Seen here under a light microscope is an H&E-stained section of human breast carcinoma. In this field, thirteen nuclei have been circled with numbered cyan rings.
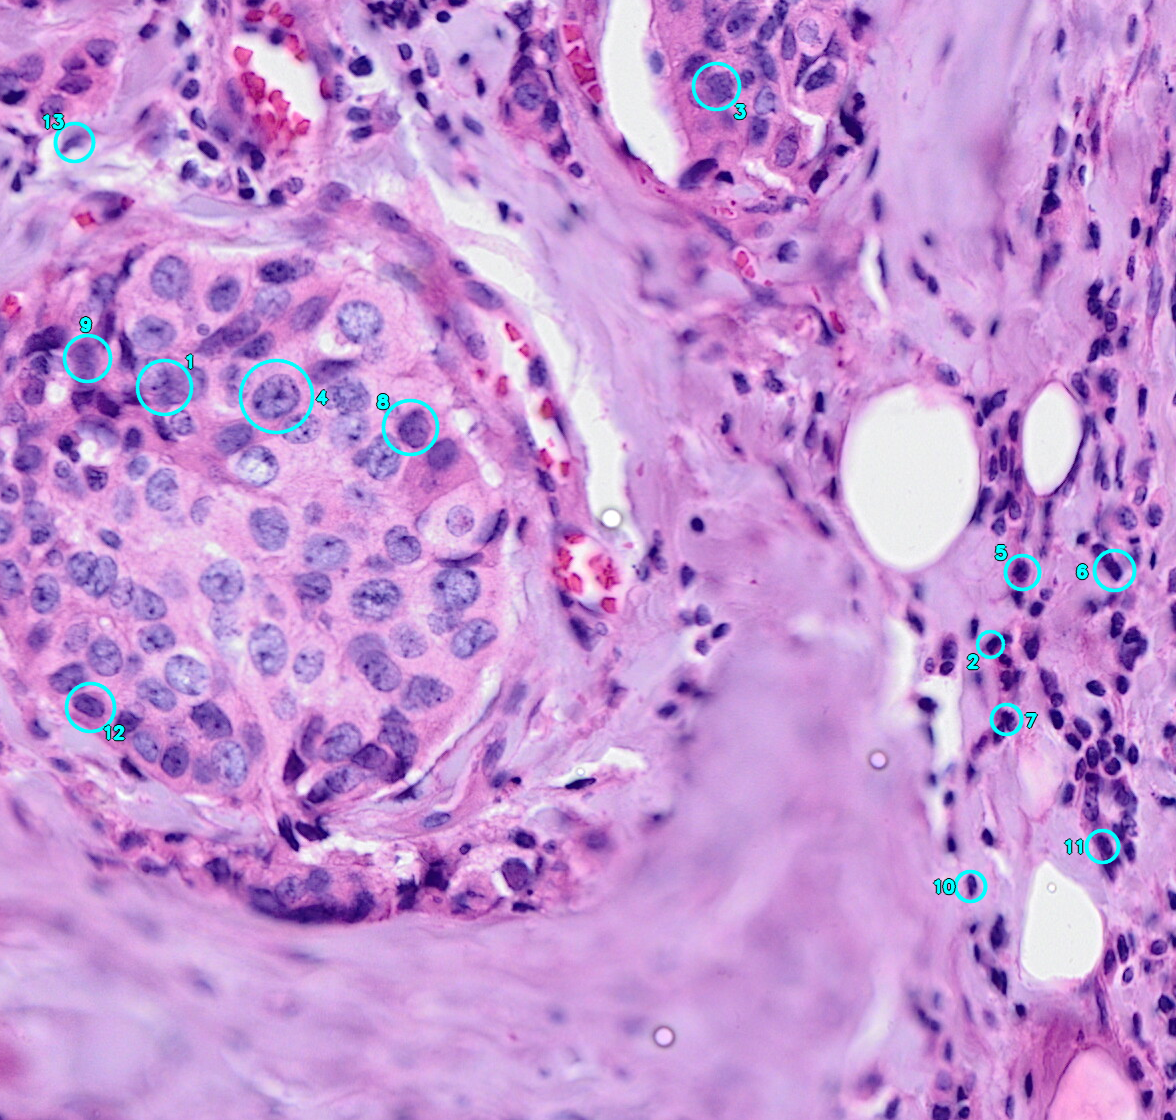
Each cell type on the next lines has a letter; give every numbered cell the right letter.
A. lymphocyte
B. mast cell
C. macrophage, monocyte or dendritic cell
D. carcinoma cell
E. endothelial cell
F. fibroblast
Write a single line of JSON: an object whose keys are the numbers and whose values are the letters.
{"1": "D", "2": "A", "3": "D", "4": "D", "5": "B", "6": "A", "7": "A", "8": "D", "9": "D", "10": "A", "11": "A", "12": "D", "13": "F"}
